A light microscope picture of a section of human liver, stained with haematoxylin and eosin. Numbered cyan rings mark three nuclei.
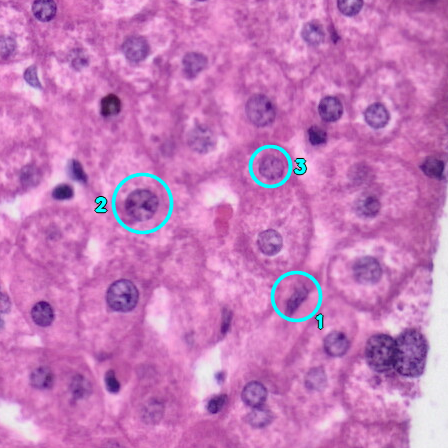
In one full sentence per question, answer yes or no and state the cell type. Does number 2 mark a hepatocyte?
Yes, the number 2 belongs to a hepatocyte.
